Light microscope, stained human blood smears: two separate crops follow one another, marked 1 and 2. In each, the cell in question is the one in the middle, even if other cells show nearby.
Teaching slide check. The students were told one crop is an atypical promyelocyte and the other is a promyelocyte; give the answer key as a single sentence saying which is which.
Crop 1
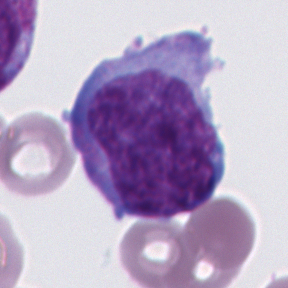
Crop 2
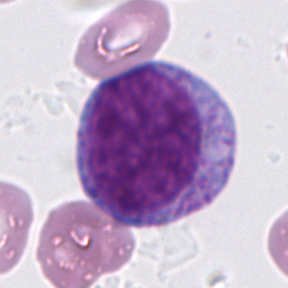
The centred cell is an atypical promyelocyte in crop 1 and a promyelocyte in crop 2.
